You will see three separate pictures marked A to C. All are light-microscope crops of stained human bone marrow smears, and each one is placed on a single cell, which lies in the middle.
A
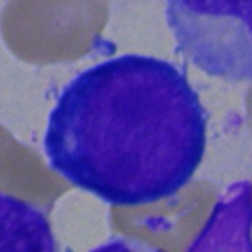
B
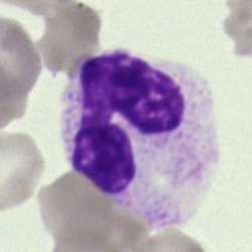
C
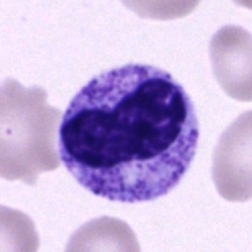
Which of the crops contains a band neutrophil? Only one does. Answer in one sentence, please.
In the set of crops, crop C is the one that contains a band neutrophil.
